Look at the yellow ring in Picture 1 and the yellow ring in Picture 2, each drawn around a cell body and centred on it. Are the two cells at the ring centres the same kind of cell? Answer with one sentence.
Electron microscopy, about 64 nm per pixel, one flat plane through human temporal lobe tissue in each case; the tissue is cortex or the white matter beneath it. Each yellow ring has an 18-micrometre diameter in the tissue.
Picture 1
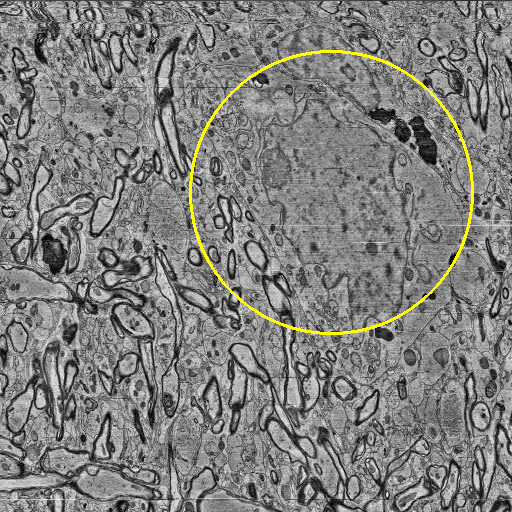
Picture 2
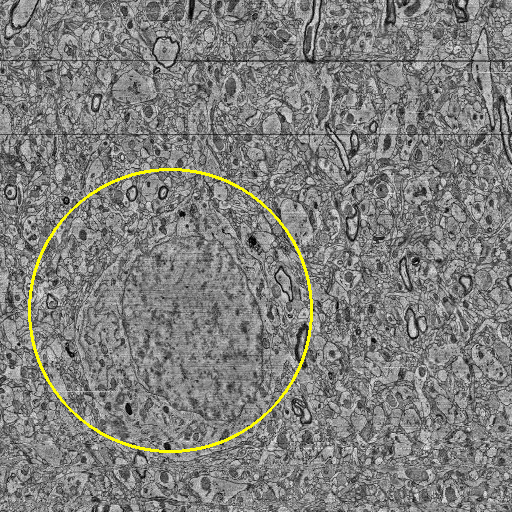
Yes, both are the same kind of cell.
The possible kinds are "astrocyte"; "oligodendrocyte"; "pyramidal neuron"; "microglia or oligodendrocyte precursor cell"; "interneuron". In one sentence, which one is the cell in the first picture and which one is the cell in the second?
Each of the two rings is centred on an interneuron.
